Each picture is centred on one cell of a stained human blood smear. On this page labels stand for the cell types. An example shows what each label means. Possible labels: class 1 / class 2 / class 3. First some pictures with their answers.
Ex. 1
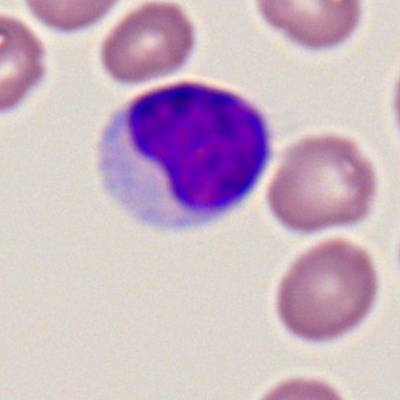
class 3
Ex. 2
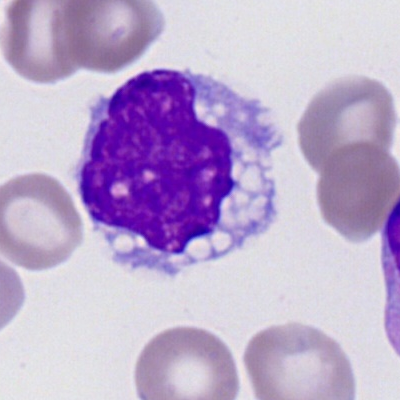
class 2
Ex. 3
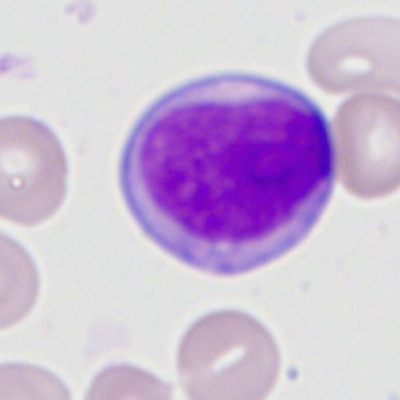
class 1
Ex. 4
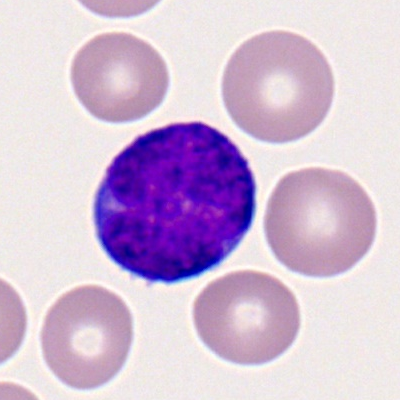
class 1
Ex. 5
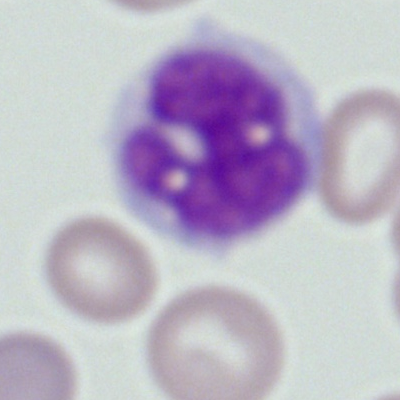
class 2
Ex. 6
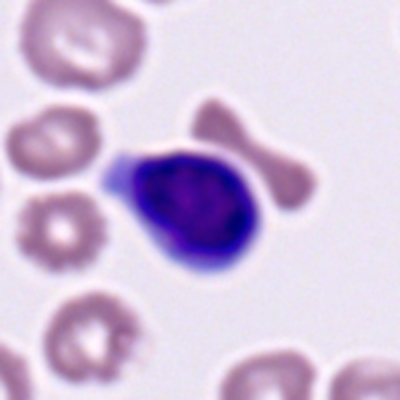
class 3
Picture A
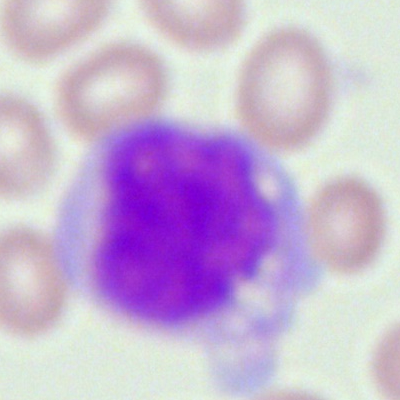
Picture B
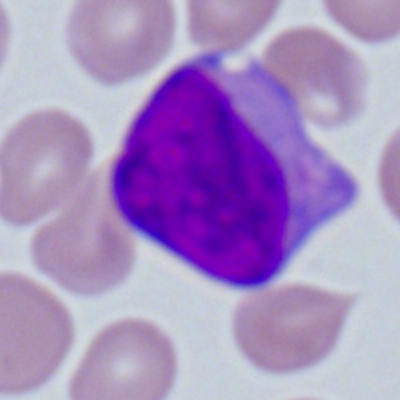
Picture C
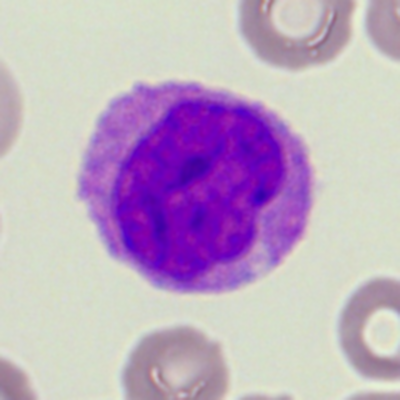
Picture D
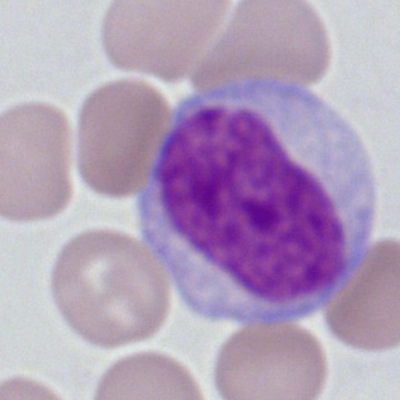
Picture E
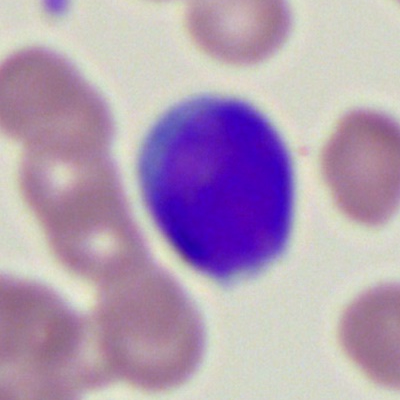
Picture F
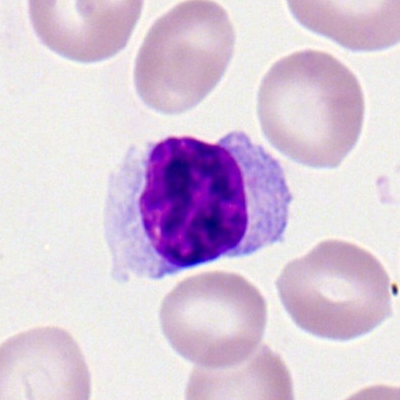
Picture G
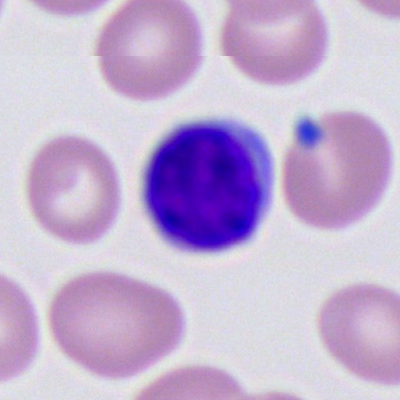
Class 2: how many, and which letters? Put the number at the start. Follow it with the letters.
Count: 3 (A, C, D)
